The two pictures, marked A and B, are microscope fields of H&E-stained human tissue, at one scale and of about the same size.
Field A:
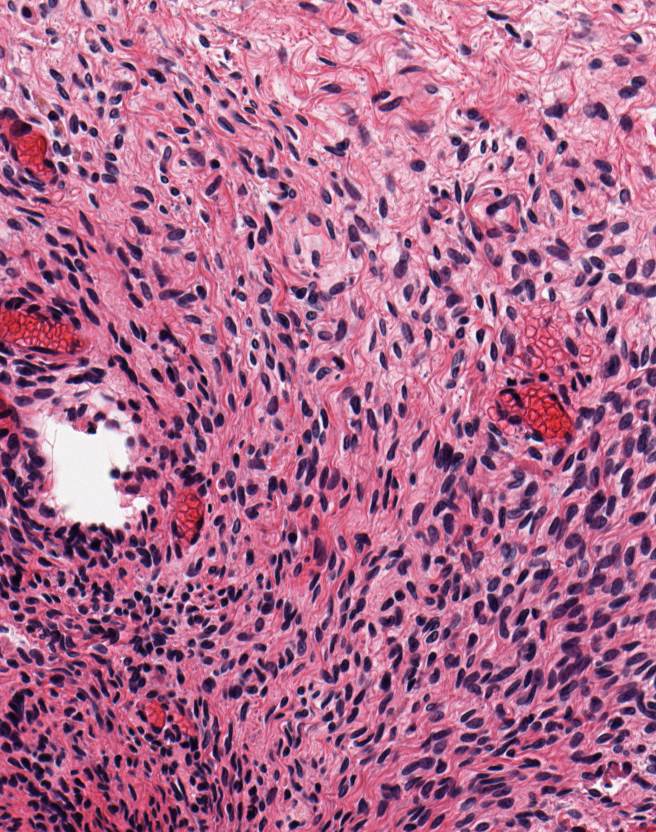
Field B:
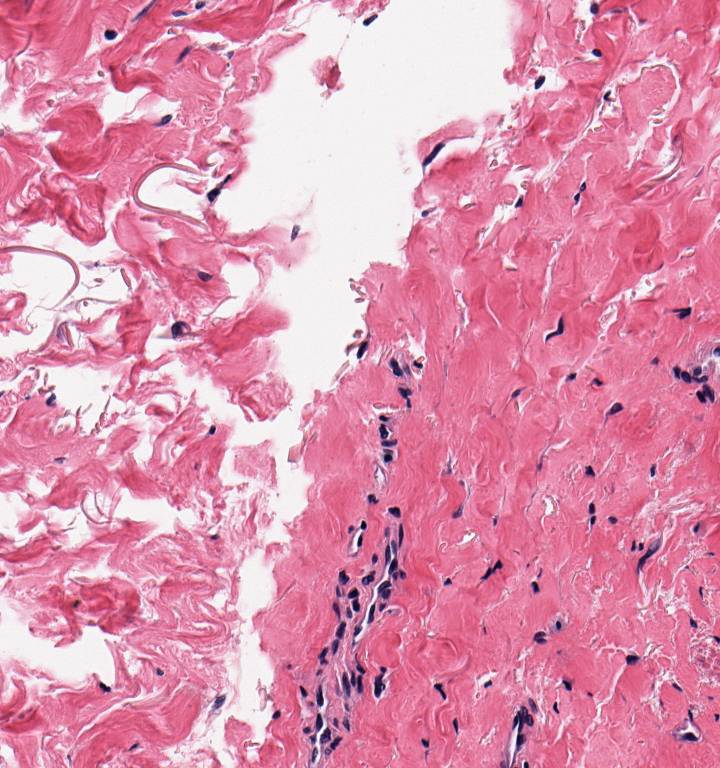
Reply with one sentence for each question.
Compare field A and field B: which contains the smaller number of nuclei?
Field B holds fewer nuclei than field A.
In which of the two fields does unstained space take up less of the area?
Unstained space takes up less of field A than of field B.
